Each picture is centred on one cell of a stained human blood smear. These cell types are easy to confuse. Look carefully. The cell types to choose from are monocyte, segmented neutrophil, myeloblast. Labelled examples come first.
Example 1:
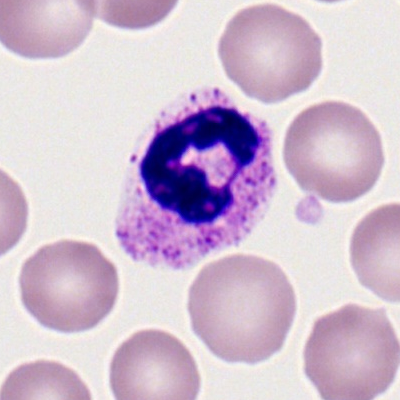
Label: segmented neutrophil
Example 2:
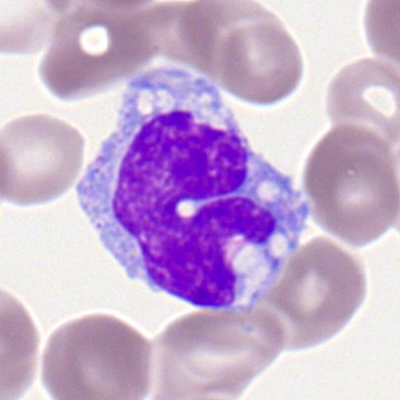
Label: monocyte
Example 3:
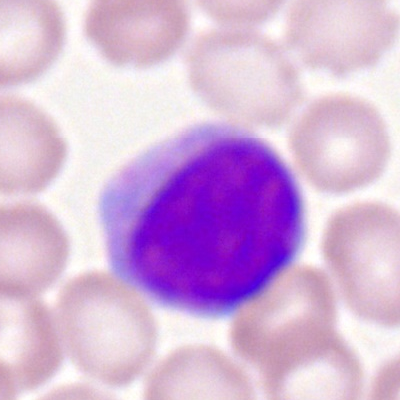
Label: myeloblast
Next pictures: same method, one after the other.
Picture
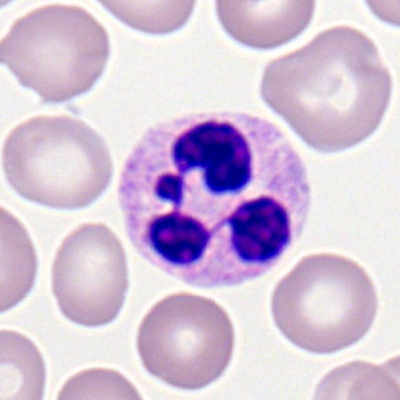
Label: segmented neutrophil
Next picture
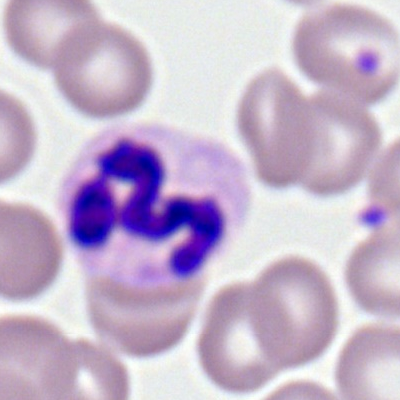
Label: segmented neutrophil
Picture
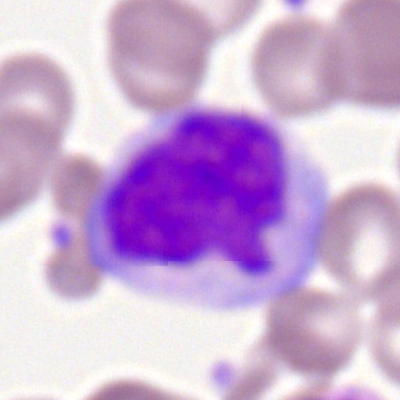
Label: monocyte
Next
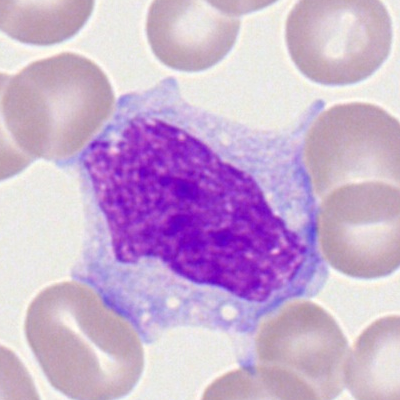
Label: monocyte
